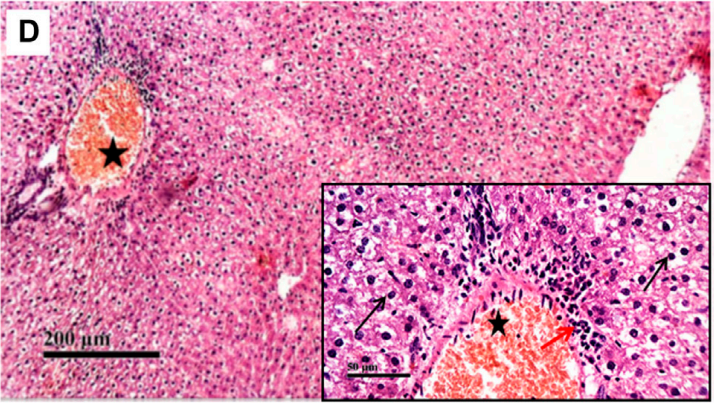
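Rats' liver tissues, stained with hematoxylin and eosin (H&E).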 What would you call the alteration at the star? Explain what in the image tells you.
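Dilated, congested hepatic blood vessels. A widened vessel packed with red blood cells. The vessel lumen is filled with bright orange-red material.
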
